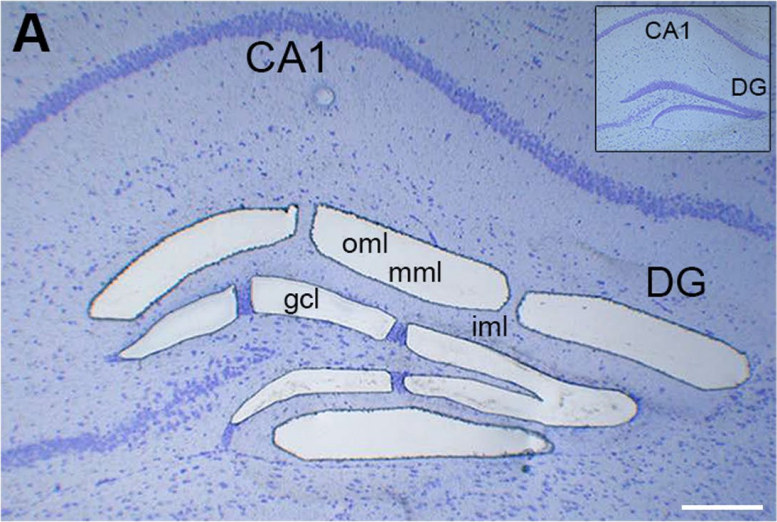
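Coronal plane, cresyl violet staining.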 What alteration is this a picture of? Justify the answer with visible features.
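Several elongated, sharply outlined regions are empty and pale, with no tissue inside. Each empty region has a thin dark rim along its cut edge. The empty regions follow the course of the layers of the lower band. On this evidence: laser microdissection.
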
